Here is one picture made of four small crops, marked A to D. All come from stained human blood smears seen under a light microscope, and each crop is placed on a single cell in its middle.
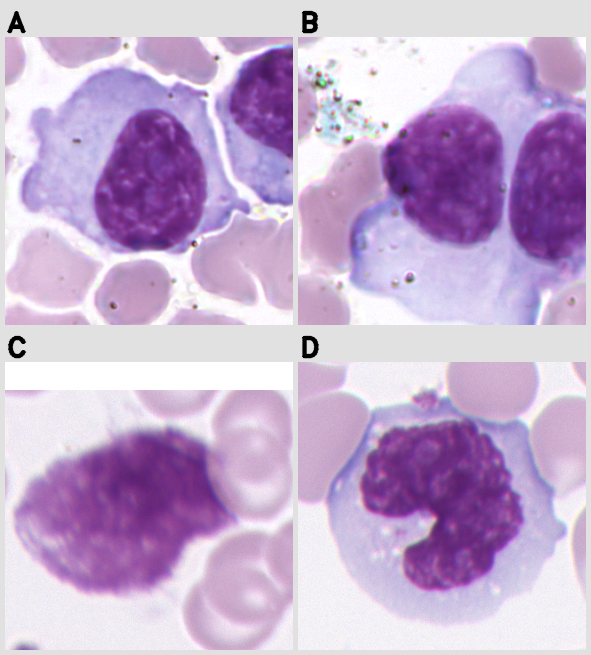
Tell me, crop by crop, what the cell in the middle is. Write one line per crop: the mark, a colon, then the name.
A: plasma cell
B: plasma cell
C: smudge cell
D: monocyte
